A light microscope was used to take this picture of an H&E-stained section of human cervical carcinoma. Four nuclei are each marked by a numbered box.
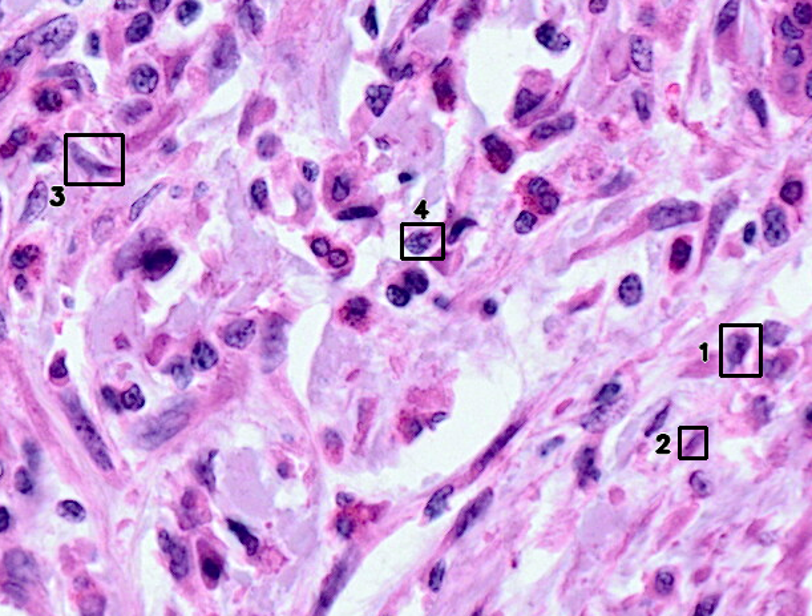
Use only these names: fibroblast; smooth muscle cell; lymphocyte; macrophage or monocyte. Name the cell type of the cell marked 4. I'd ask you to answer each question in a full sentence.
The cell that is numbered 4 is a lymphocyte.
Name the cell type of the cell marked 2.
That cell with number 2 is a fibroblast.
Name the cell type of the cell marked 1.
The cell referenced by the number 1 is a macrophage or monocyte in this field.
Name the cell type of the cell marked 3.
Numbered cell 3 is a fibroblast in this tissue section.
